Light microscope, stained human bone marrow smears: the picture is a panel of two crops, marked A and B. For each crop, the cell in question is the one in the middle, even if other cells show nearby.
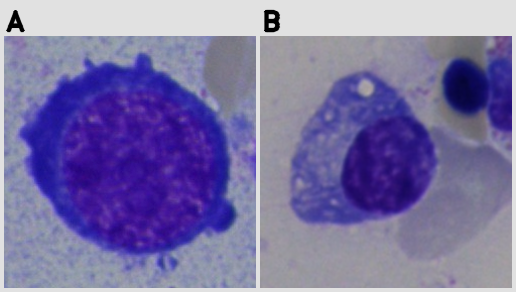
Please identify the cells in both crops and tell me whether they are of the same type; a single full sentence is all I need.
No, crop A is where a proerythroblast is, and crop B is where a plasma cell is.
